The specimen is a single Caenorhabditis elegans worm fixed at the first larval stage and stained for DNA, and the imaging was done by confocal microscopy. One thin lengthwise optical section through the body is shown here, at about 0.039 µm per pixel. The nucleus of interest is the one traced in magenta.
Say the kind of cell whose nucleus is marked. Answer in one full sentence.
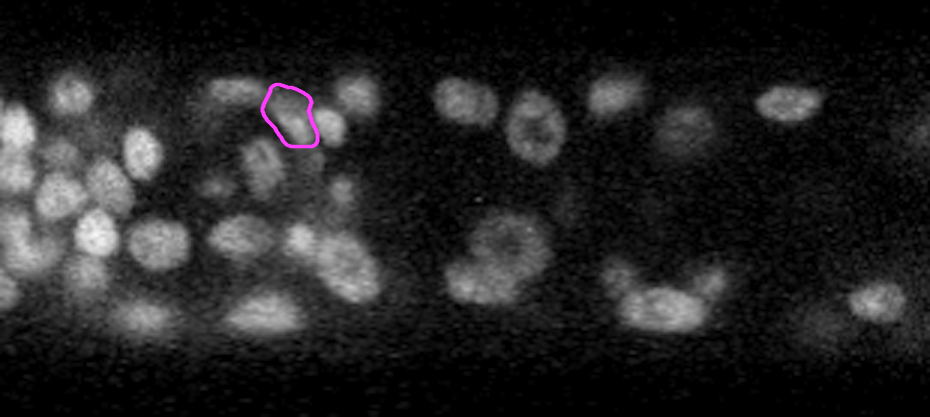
This nucleus is from a valve cell of the gut.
